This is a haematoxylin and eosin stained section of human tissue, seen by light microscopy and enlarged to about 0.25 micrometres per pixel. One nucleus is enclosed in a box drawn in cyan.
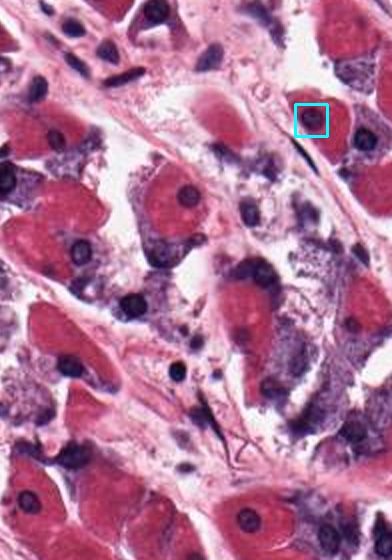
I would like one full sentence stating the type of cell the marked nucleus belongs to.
Belonging to a parietal cell is the marked nucleus.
